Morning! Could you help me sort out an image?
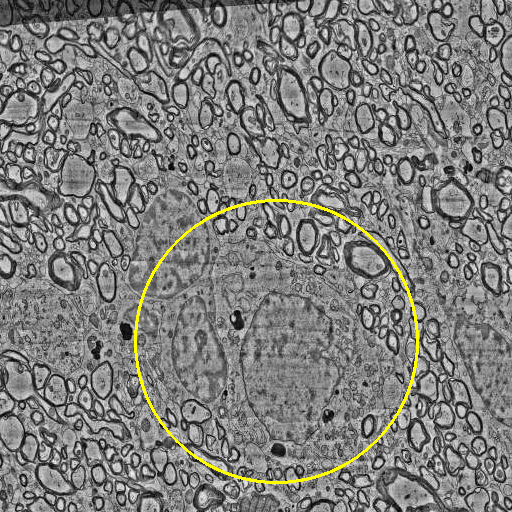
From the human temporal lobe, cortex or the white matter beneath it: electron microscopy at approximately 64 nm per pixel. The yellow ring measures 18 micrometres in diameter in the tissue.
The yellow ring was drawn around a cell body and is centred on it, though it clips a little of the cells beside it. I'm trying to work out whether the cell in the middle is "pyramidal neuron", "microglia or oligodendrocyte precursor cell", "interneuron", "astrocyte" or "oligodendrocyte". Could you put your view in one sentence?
The ringed cell body is that of an interneuron.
